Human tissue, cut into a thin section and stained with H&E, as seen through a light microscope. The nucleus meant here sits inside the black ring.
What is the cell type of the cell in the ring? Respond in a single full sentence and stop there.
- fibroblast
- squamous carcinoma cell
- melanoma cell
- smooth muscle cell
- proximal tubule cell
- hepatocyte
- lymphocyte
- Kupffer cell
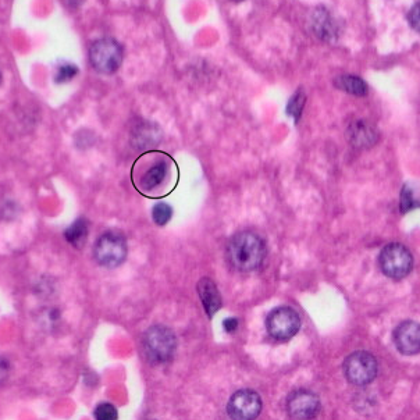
Within the stained tissue, the cell in the ring is a Kupffer cell.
